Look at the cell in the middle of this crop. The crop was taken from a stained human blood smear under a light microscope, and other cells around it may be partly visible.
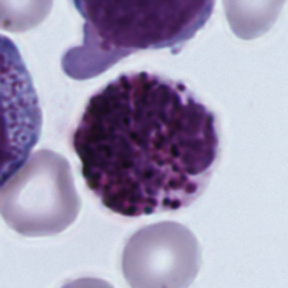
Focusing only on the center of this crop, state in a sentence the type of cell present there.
The cell of interest, located centrally, is a basophil.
